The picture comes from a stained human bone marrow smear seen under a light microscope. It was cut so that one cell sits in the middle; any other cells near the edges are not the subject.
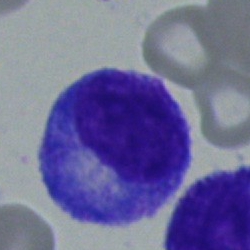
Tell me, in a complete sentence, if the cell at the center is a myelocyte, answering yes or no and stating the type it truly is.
Yes, the cell at the centre of this crop is identified as a myelocyte.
